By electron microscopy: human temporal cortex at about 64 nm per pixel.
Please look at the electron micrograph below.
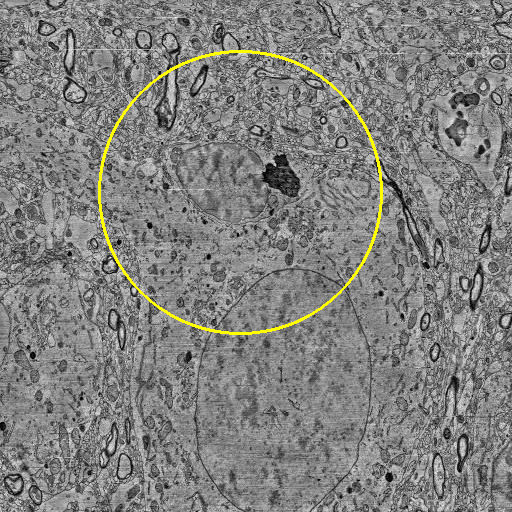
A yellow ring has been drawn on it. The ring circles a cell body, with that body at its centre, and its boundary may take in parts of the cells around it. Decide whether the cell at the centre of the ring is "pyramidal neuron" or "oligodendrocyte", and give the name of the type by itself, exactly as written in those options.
oligodendrocyte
